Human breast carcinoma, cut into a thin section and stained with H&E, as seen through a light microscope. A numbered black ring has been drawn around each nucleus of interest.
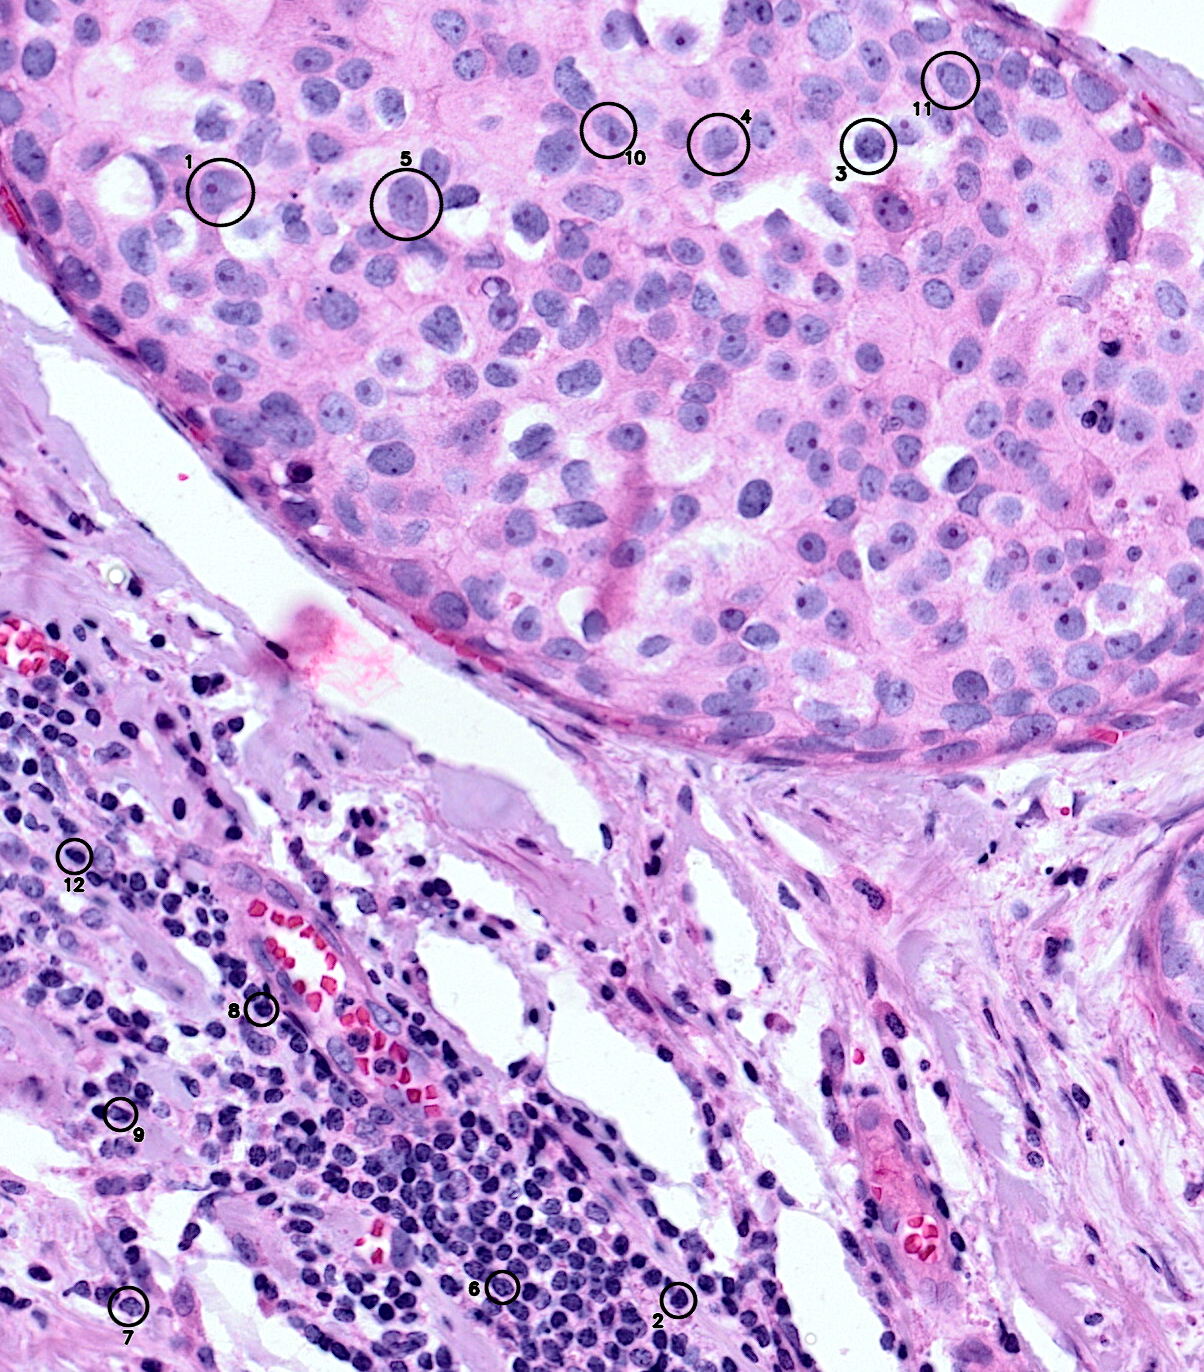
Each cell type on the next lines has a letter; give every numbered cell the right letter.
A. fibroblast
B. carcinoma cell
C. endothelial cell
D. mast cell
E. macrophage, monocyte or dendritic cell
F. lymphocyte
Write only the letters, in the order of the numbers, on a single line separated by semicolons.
B; F; B; B; B; F; F; F; F; B; B; F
